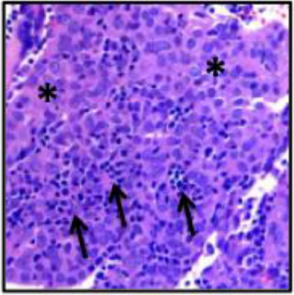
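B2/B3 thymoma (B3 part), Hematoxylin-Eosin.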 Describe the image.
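Neoplastic thymic epithelial cells form sheets of large polygonal cells with pink cytoplasm and large, pale, round to oval nuclei. Among them lie clusters of small cells of the hematopoietic lineage with dark, round nuclei and scant cytoplasm.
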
